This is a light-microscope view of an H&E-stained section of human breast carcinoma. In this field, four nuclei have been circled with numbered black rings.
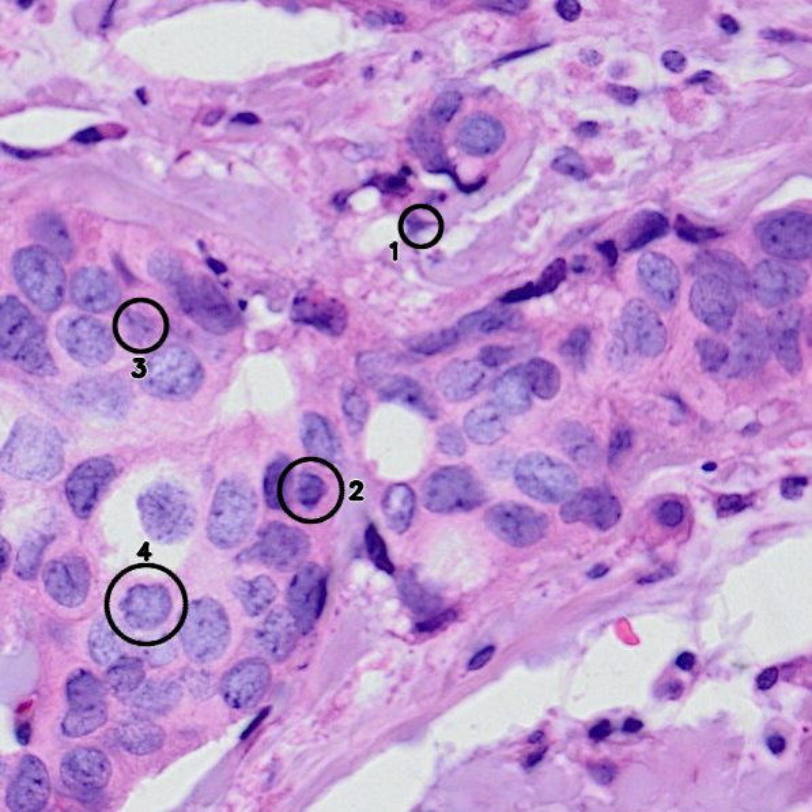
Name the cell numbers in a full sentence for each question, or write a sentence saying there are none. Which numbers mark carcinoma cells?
The cells with labels 2, 3 and 4 are carcinoma cells.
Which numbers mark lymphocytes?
Between them, the numbered cells include no lymphocytes.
